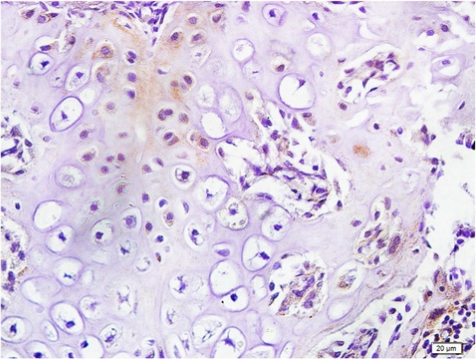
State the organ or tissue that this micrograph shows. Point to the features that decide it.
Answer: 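Large rounded cells sit singly or in pairs within lacunae. A pale, glassy, homogeneous matrix surrounds the lacunae. Many lacunae are enlarged with shrunken cells inside.
Answer: cartilage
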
